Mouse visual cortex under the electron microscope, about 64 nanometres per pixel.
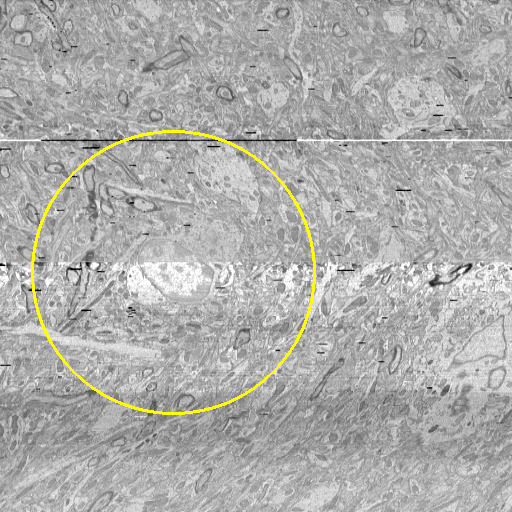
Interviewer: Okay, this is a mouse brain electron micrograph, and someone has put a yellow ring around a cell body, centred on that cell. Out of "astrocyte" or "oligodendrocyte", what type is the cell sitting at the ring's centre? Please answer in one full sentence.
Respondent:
The cell at the centre of the yellow ring in this picture is an oligodendrocyte.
